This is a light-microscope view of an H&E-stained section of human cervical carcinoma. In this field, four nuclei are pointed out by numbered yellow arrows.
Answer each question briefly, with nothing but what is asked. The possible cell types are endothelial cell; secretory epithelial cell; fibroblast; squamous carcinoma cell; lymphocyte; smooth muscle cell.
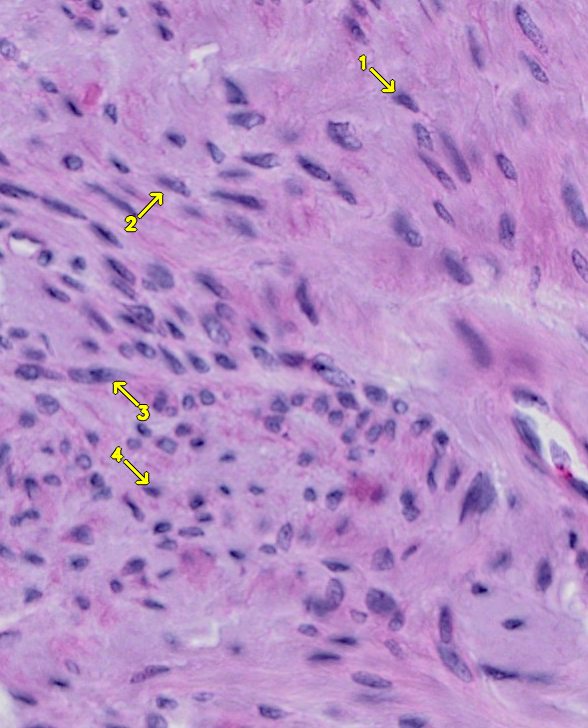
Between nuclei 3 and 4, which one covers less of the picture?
4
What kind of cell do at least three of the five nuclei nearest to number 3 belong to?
smooth muscle cell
